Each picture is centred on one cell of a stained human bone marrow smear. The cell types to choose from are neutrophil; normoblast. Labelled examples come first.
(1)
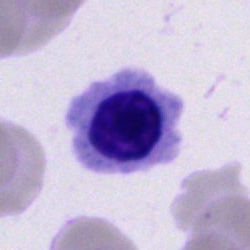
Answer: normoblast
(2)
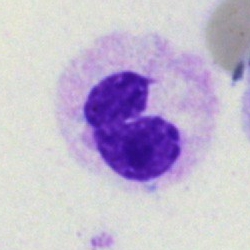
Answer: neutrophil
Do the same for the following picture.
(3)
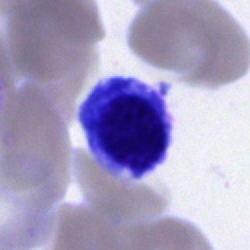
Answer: normoblast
